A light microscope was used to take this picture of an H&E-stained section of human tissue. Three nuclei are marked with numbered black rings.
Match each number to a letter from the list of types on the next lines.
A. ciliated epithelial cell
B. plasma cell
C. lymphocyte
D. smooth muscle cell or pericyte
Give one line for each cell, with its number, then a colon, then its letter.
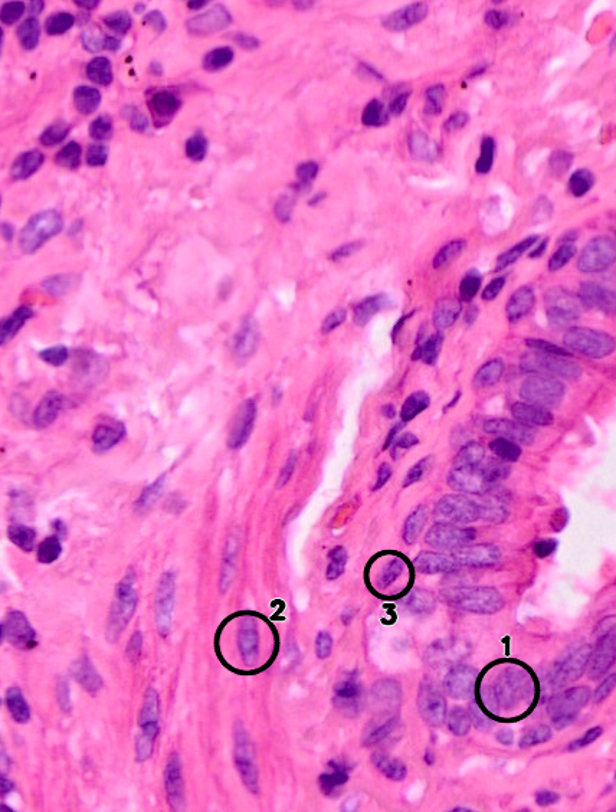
1: A
2: D
3: A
